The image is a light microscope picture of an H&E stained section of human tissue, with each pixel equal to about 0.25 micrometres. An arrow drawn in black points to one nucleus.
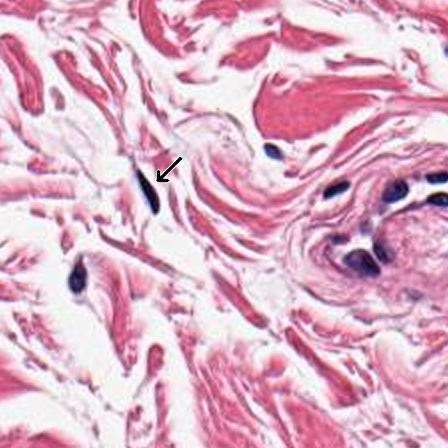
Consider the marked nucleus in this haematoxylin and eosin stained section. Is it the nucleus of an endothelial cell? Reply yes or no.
no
